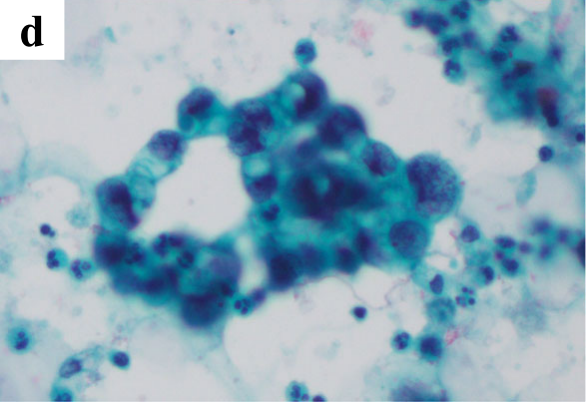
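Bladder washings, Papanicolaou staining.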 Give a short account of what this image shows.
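A crowded, irregular cluster of overtly atypical cells with high nuclear-to-cytoplasmic ratios is seen, partly arranged around a central open space. The nuclei are large, dark, crowded and overlapping, with little blue-green cytoplasm around them. Smaller cells with dark lobed nuclei, consistent with inflammatory cells, lie around and on the cluster.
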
